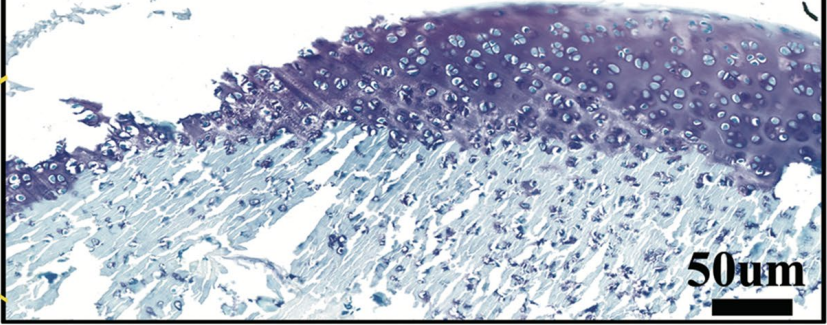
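Along the upper edge runs a band of purple-staining matrix in which rounded chondrocytes sit singly and in small groups inside clear lacunae. Below this band lies a pale blue, streaked and loosely fibrous material with scattered small nuclei, and some lacunae with cells lie near the boundary between the two. The purple zone meets the pale blue zone along a ragged, uneven border.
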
